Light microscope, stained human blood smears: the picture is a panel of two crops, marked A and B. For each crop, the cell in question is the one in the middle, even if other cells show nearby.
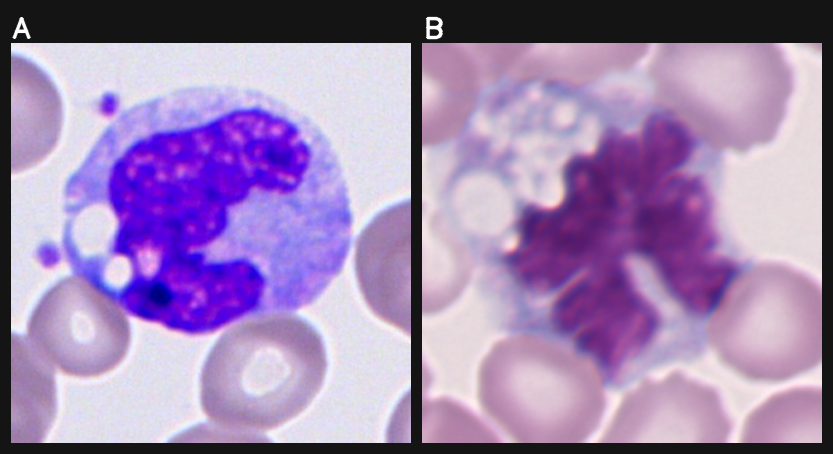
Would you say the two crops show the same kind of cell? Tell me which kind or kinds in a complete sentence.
Yes, both crops depict monocytes at the centre.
